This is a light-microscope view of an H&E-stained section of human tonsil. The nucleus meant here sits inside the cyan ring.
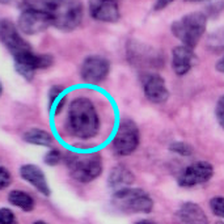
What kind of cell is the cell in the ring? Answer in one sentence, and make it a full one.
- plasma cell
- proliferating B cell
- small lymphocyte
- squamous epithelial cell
Typologically, the cell in the ring is a proliferating B cell in this section.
